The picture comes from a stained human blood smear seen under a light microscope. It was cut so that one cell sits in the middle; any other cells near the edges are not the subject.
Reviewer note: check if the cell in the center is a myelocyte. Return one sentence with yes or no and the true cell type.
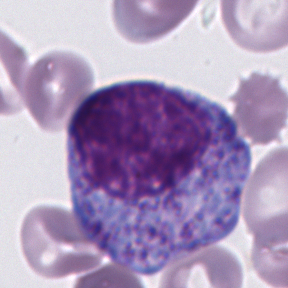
Yes, the cell shown at the crop's centre is a myelocyte.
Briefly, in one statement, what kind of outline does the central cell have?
Thanks for asking; the cell edge is smooth and has no projections.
